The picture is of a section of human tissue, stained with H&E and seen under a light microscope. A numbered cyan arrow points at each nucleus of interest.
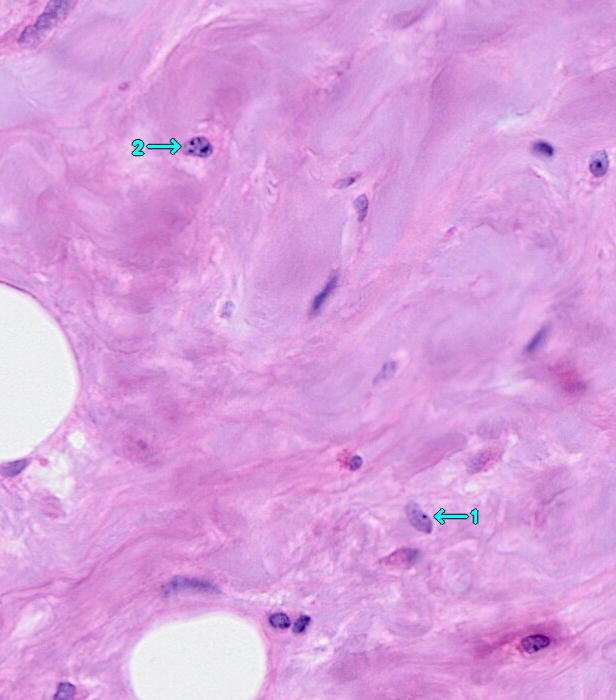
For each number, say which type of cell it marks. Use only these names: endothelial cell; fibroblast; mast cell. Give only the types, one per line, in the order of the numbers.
fibroblast
mast cell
